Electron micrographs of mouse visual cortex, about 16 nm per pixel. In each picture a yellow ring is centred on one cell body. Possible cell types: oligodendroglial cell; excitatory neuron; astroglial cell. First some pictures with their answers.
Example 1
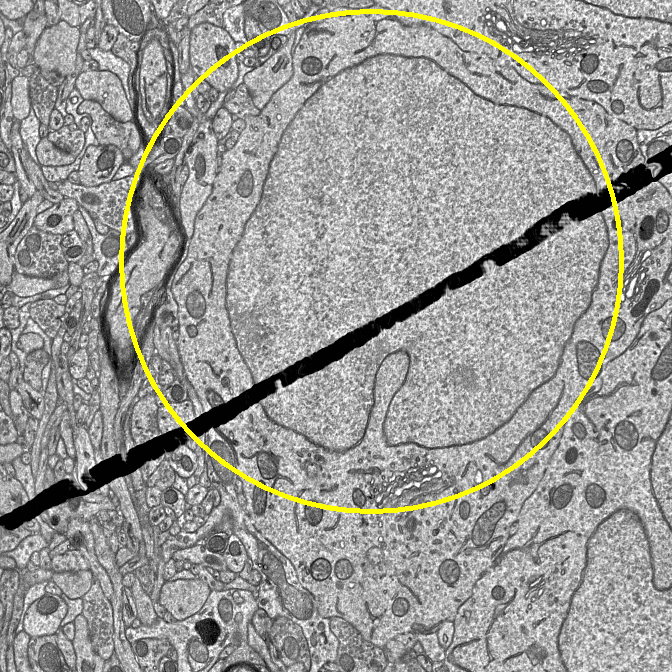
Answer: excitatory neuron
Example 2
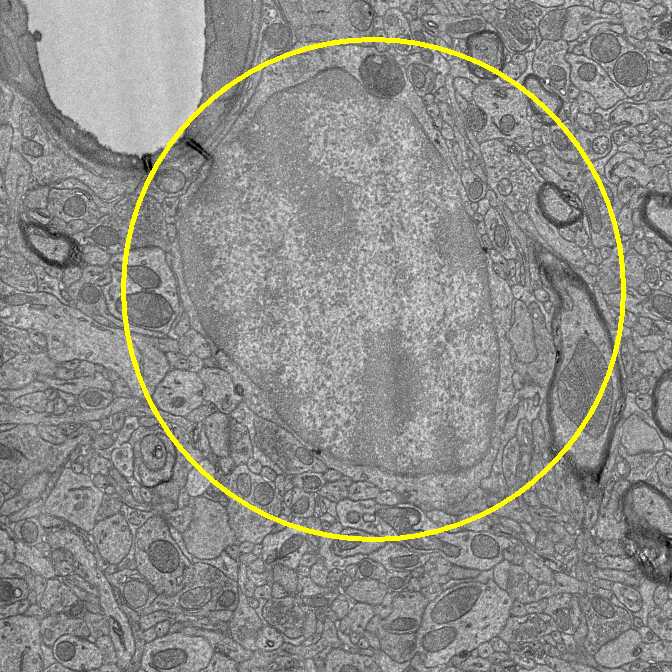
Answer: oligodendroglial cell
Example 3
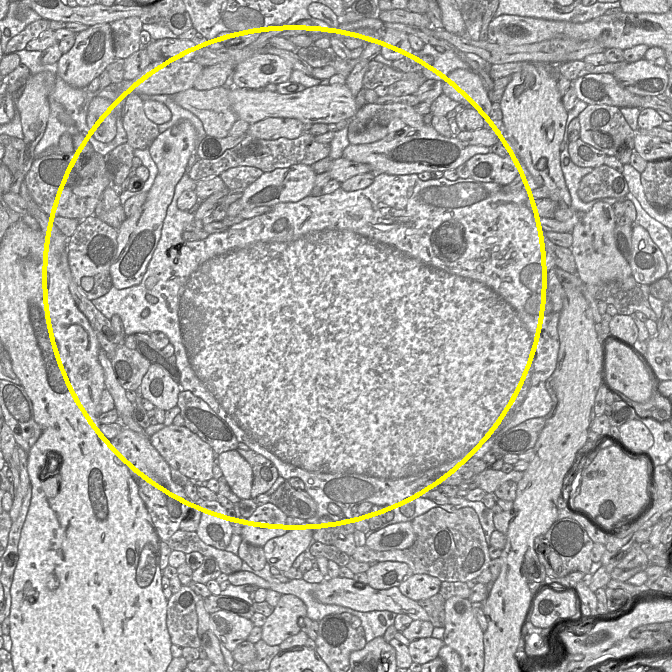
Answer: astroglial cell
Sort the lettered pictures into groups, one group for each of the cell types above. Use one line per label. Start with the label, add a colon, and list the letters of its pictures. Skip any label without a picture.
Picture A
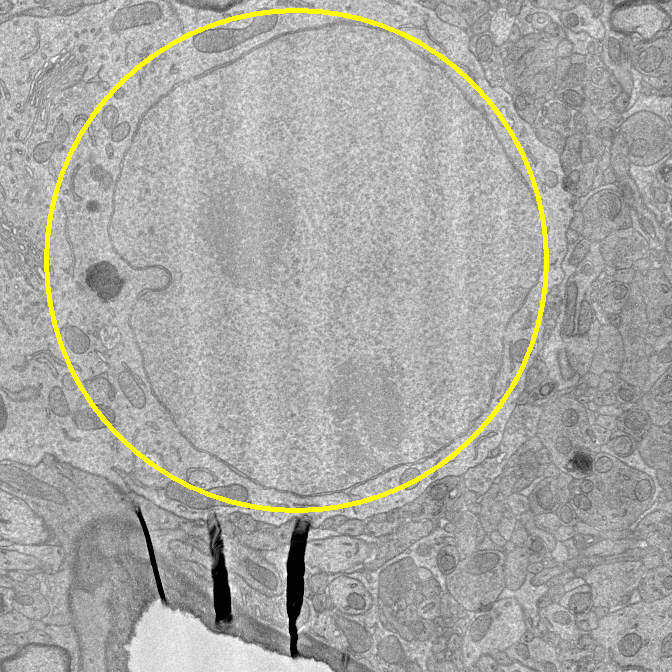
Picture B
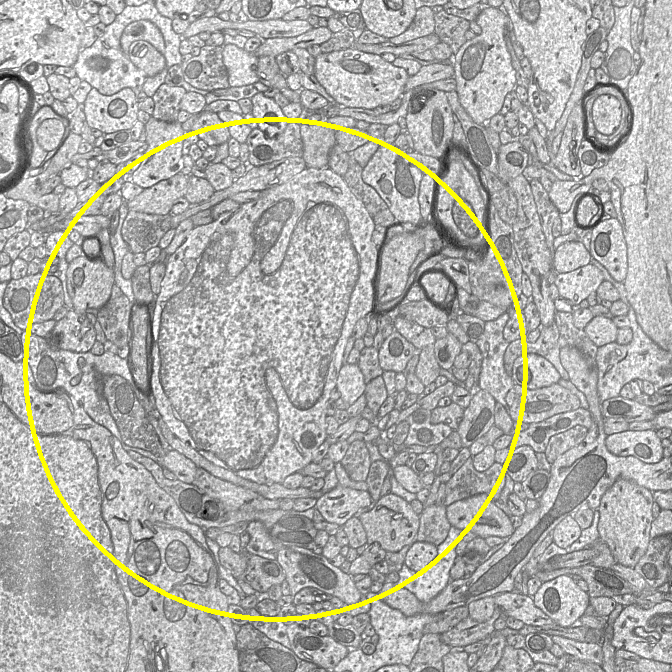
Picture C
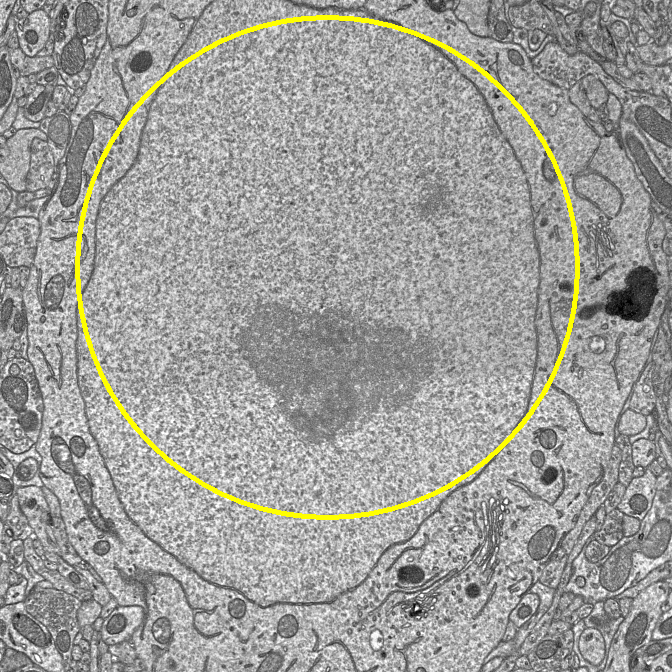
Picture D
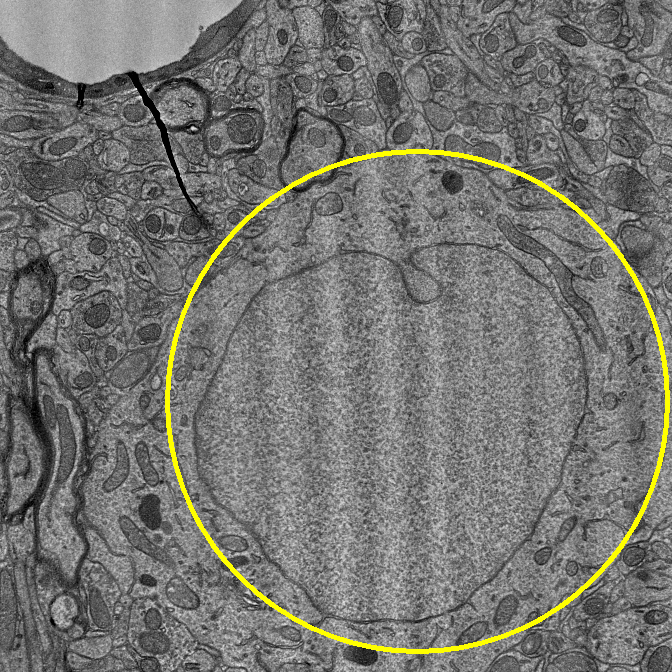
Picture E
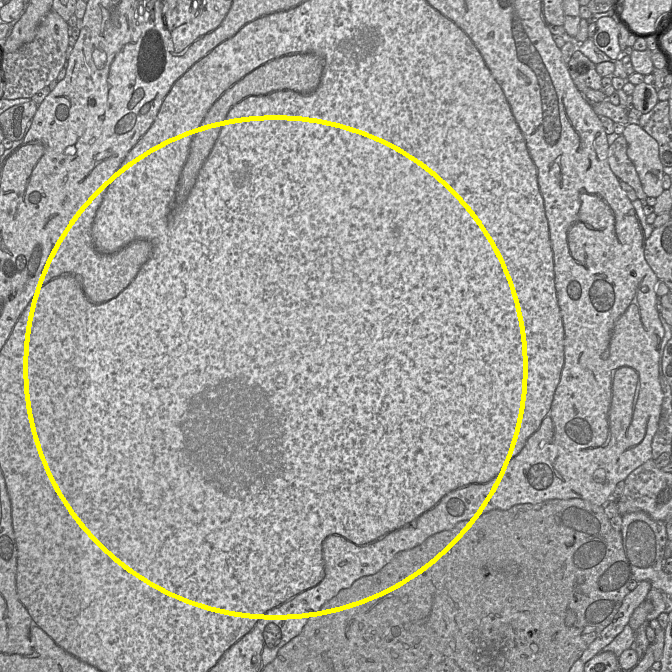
oligodendroglial cell: B
excitatory neuron: A, C, D, E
